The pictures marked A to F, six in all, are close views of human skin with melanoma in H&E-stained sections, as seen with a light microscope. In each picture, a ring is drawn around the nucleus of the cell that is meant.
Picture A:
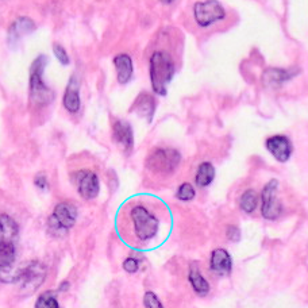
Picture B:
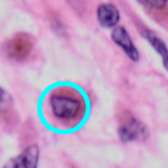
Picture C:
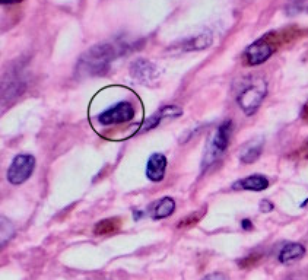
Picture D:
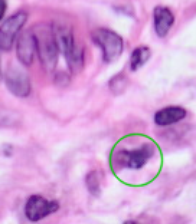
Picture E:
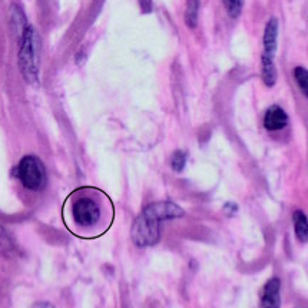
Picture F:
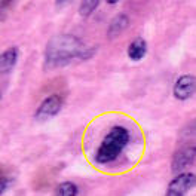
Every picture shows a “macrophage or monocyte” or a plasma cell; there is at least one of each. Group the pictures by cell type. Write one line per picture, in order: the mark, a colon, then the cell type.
A: macrophage or monocyte
B: macrophage or monocyte
C: plasma cell
D: plasma cell
E: plasma cell
F: plasma cell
